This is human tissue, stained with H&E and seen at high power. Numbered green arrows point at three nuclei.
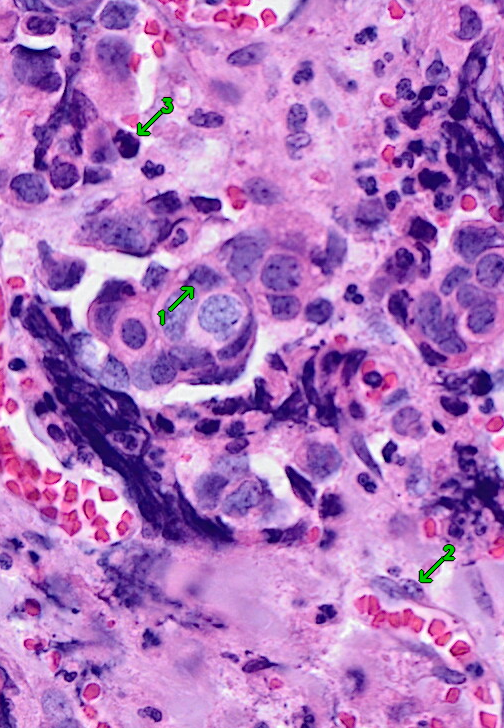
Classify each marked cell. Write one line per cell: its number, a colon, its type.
1: carcinoma cell
2: endothelial cell
3: carcinoma cell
